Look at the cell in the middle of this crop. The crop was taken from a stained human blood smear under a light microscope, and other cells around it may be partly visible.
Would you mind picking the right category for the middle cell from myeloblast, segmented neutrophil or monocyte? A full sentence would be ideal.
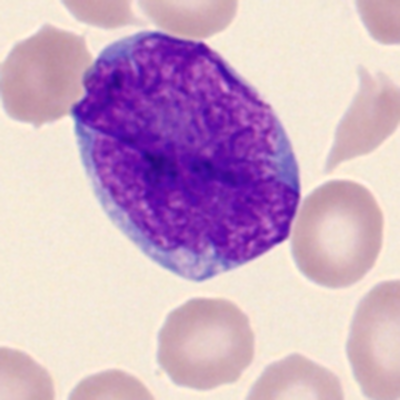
Within this crop, a myeloblast occupies the central position.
